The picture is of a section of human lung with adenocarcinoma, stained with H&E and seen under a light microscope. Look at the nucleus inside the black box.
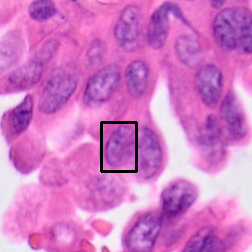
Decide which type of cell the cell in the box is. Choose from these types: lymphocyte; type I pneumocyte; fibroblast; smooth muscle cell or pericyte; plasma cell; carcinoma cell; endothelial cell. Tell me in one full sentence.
The cell type represented by the cell in the box is that of a carcinoma cell.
